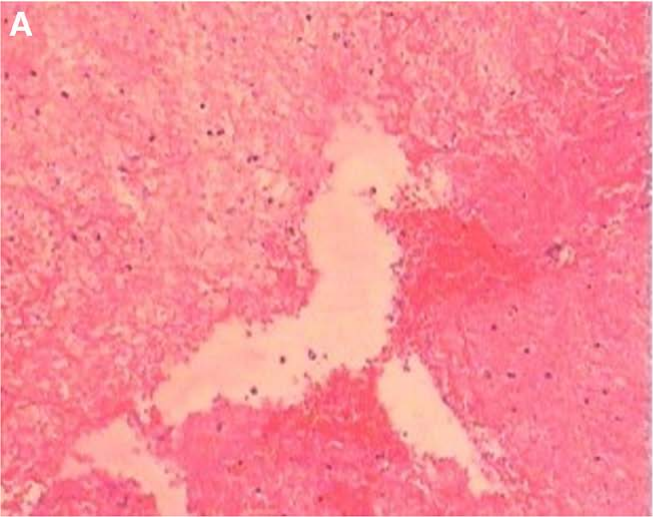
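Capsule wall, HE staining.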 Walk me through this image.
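Small dark nuclei are scattered sparsely through the pink material. Toward the centre and lower right there are zones of deeper, more intense red, consistent with packed blood clot. A branching pale cleft crosses the middle of the field, and a few dark nuclei lie along its edges and within it. No organised layers or intact glandular or epithelial structures are seen.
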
